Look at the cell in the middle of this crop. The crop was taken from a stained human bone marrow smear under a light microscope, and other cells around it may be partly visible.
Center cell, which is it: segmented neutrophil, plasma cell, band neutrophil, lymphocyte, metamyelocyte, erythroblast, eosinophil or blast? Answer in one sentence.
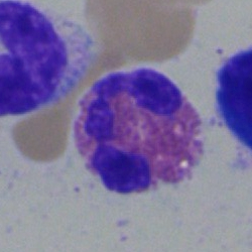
By type, the central cell of the crop is an eosinophil.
